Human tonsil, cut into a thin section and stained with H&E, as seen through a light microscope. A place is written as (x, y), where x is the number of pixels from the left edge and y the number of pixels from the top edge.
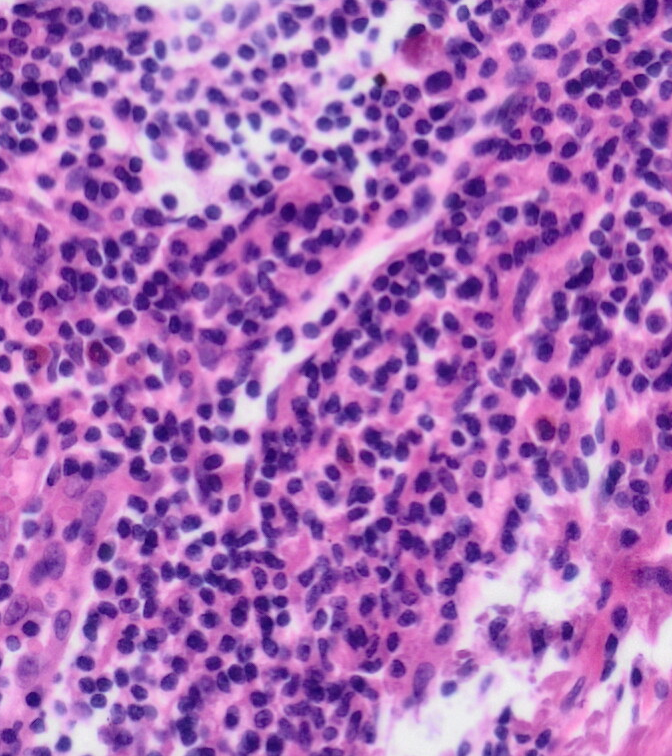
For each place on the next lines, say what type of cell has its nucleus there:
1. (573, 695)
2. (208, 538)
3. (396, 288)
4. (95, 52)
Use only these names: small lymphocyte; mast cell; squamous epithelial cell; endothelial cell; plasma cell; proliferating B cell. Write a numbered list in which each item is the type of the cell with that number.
1. endothelial cell
2. small lymphocyte
3. small lymphocyte
4. small lymphocyte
